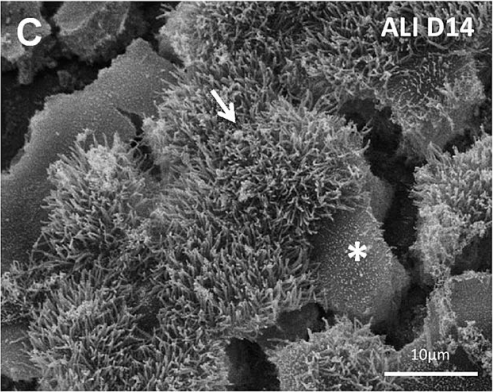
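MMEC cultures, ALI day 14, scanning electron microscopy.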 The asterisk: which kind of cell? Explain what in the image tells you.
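The marked surface is flat and lacks long projections. It lies lower than the neighbouring tufted cells. That points to this answer: flatter polygonal cells.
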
